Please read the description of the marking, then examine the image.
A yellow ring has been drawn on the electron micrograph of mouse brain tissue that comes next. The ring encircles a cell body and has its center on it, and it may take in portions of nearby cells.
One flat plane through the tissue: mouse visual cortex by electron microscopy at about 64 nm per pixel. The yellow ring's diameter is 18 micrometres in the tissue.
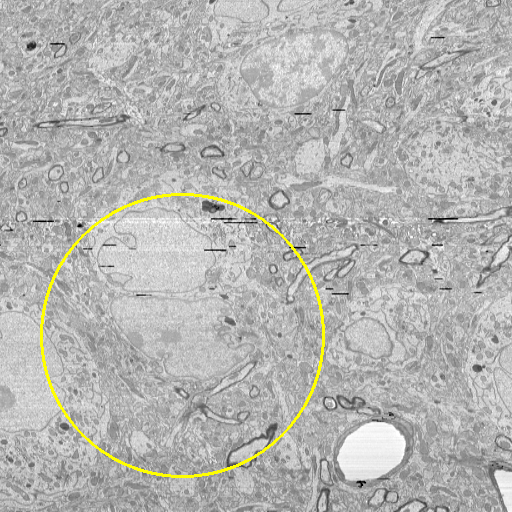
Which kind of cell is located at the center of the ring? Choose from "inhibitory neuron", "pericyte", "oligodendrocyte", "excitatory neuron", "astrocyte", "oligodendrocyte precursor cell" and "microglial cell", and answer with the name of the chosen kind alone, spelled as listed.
oligodendrocyte precursor cell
